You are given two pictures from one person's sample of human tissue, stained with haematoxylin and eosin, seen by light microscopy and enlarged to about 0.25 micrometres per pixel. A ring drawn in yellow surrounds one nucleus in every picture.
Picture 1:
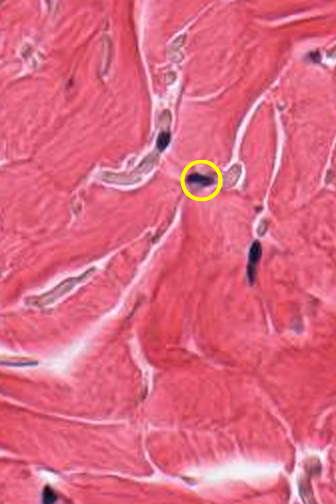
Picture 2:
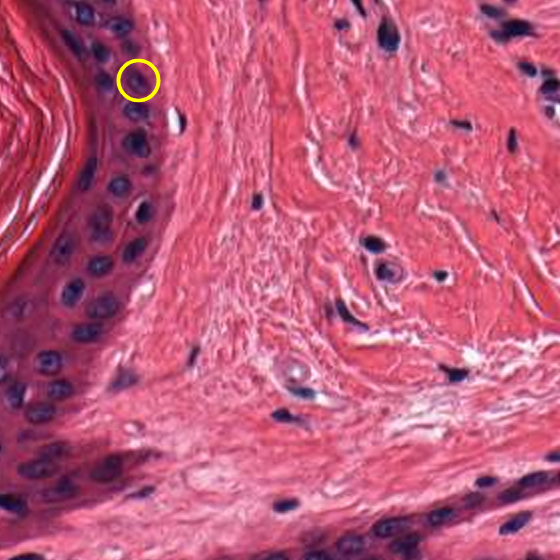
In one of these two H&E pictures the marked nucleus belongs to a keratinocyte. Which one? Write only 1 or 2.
2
